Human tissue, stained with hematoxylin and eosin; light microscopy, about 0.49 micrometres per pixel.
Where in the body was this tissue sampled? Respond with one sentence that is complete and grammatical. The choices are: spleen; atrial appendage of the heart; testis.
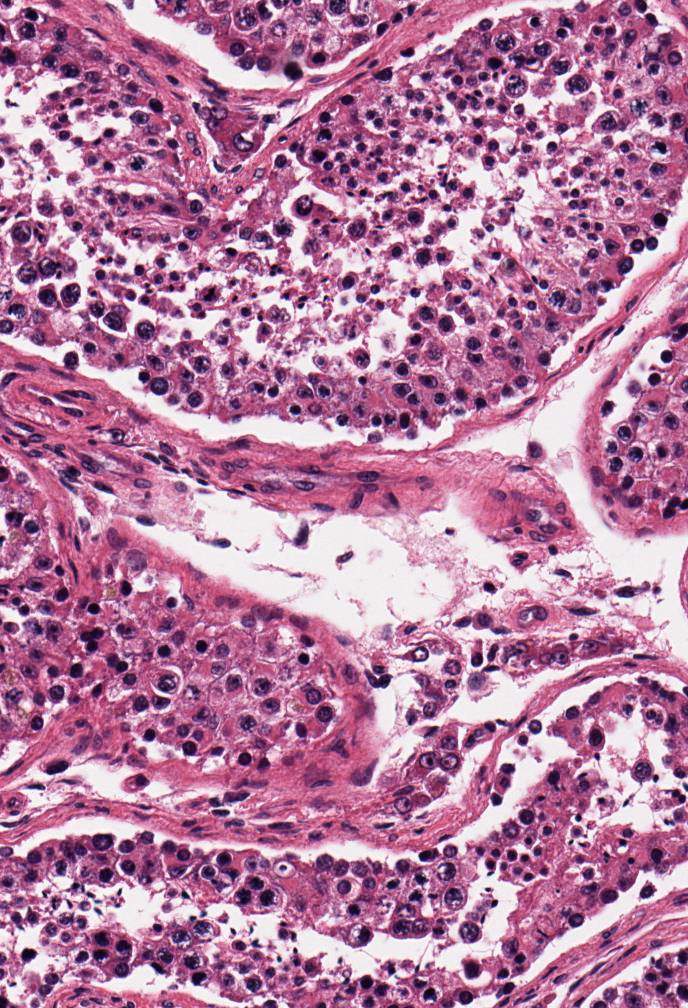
The sample of tissue came from the testis.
